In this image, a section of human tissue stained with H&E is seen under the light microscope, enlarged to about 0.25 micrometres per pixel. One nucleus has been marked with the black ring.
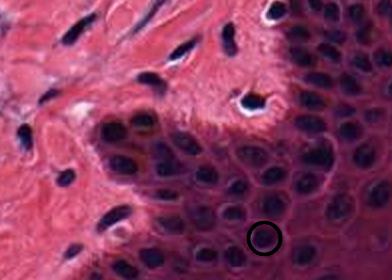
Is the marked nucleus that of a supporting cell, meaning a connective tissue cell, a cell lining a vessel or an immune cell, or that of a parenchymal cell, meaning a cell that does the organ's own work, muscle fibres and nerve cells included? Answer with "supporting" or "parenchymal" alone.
parenchymal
